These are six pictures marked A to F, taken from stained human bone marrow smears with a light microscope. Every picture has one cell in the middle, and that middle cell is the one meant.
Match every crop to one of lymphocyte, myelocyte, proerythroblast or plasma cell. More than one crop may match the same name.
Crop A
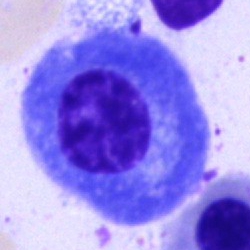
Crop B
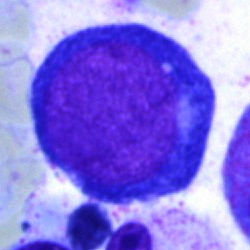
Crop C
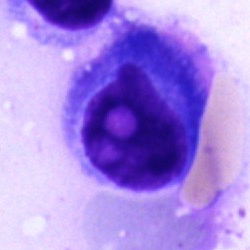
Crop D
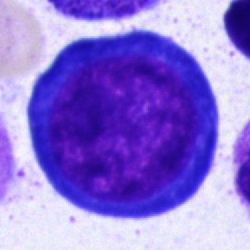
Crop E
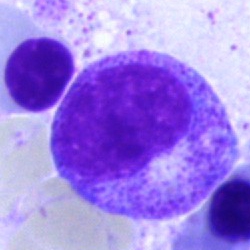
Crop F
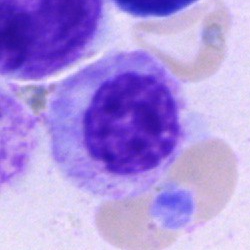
A: plasma cell
B: proerythroblast
C: plasma cell
D: proerythroblast
E: myelocyte
F: myelocyte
